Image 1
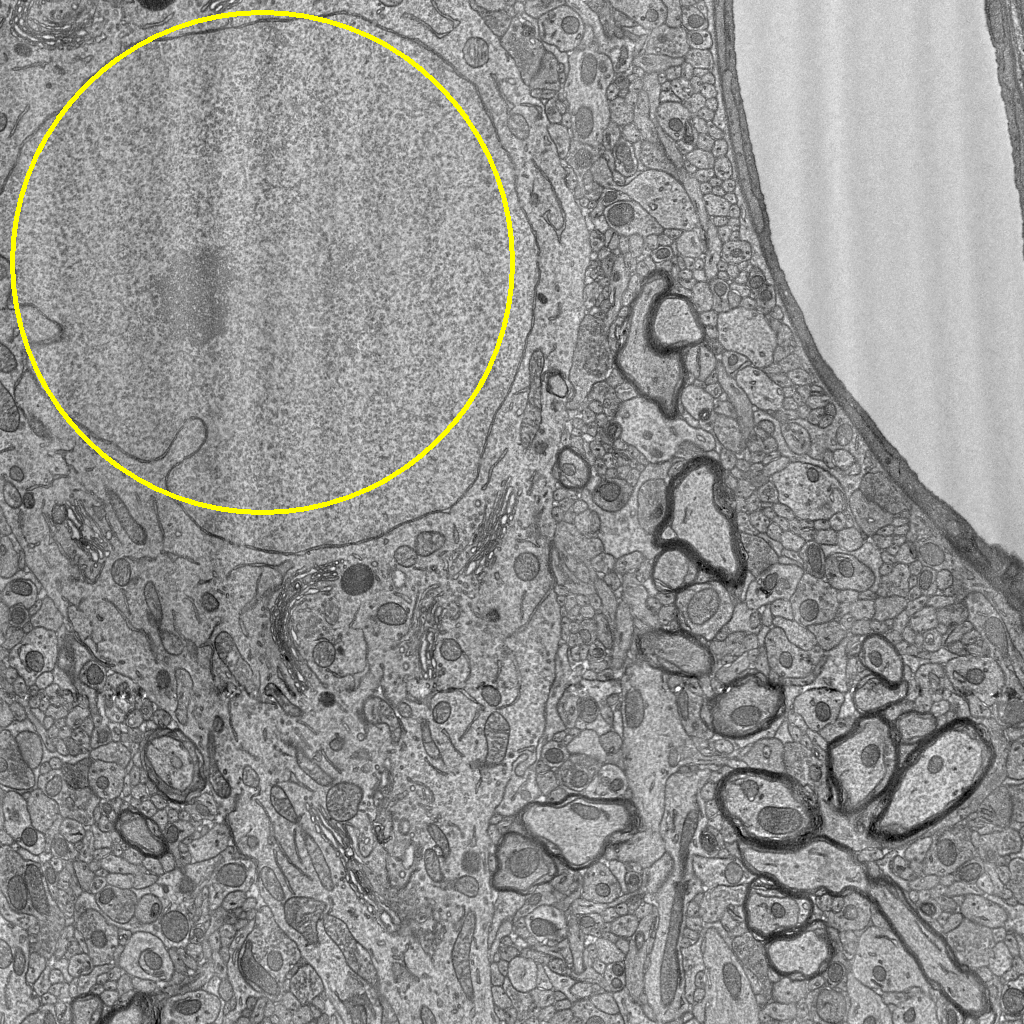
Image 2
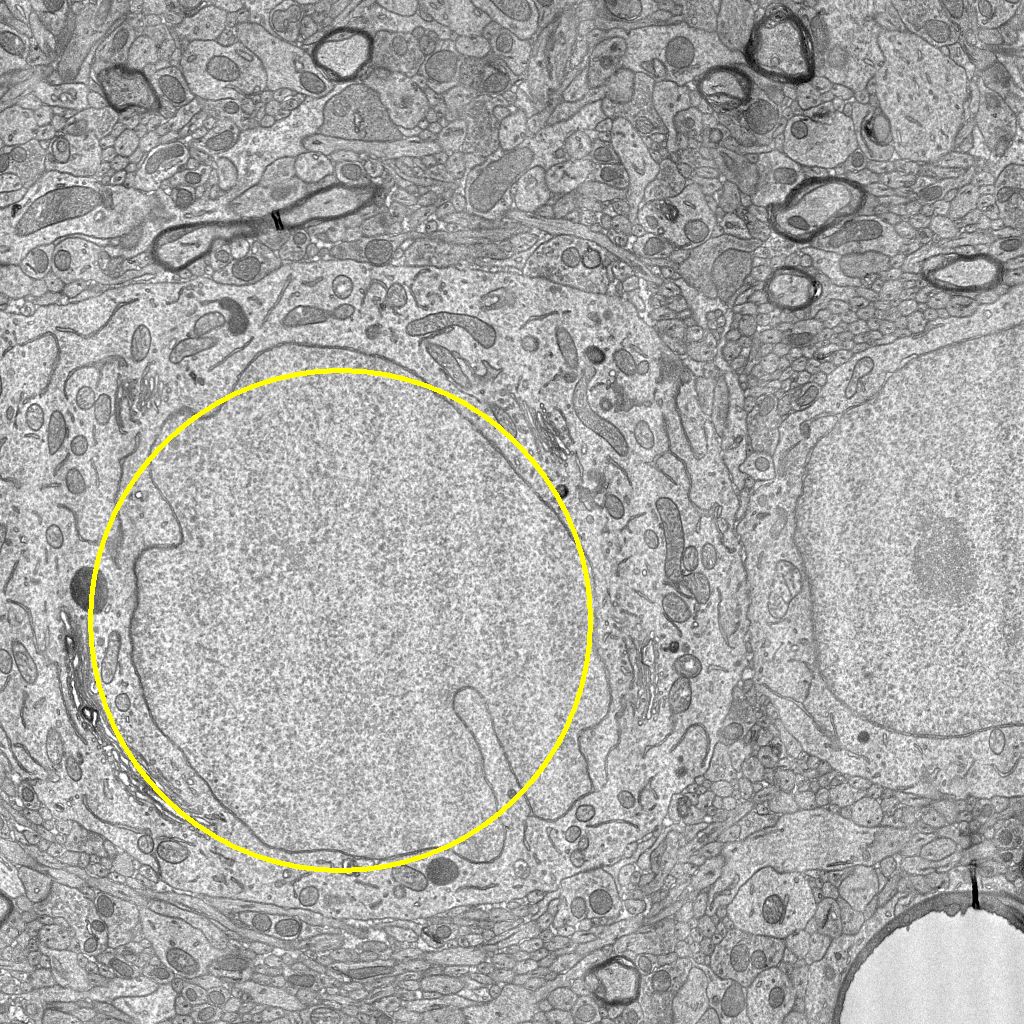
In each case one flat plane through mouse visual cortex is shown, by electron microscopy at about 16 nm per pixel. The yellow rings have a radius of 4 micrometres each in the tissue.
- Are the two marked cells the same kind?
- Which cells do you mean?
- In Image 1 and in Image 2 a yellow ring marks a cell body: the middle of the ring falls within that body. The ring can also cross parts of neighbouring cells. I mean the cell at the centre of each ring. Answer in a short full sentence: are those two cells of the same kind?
Yes, both cells are of the same kind.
